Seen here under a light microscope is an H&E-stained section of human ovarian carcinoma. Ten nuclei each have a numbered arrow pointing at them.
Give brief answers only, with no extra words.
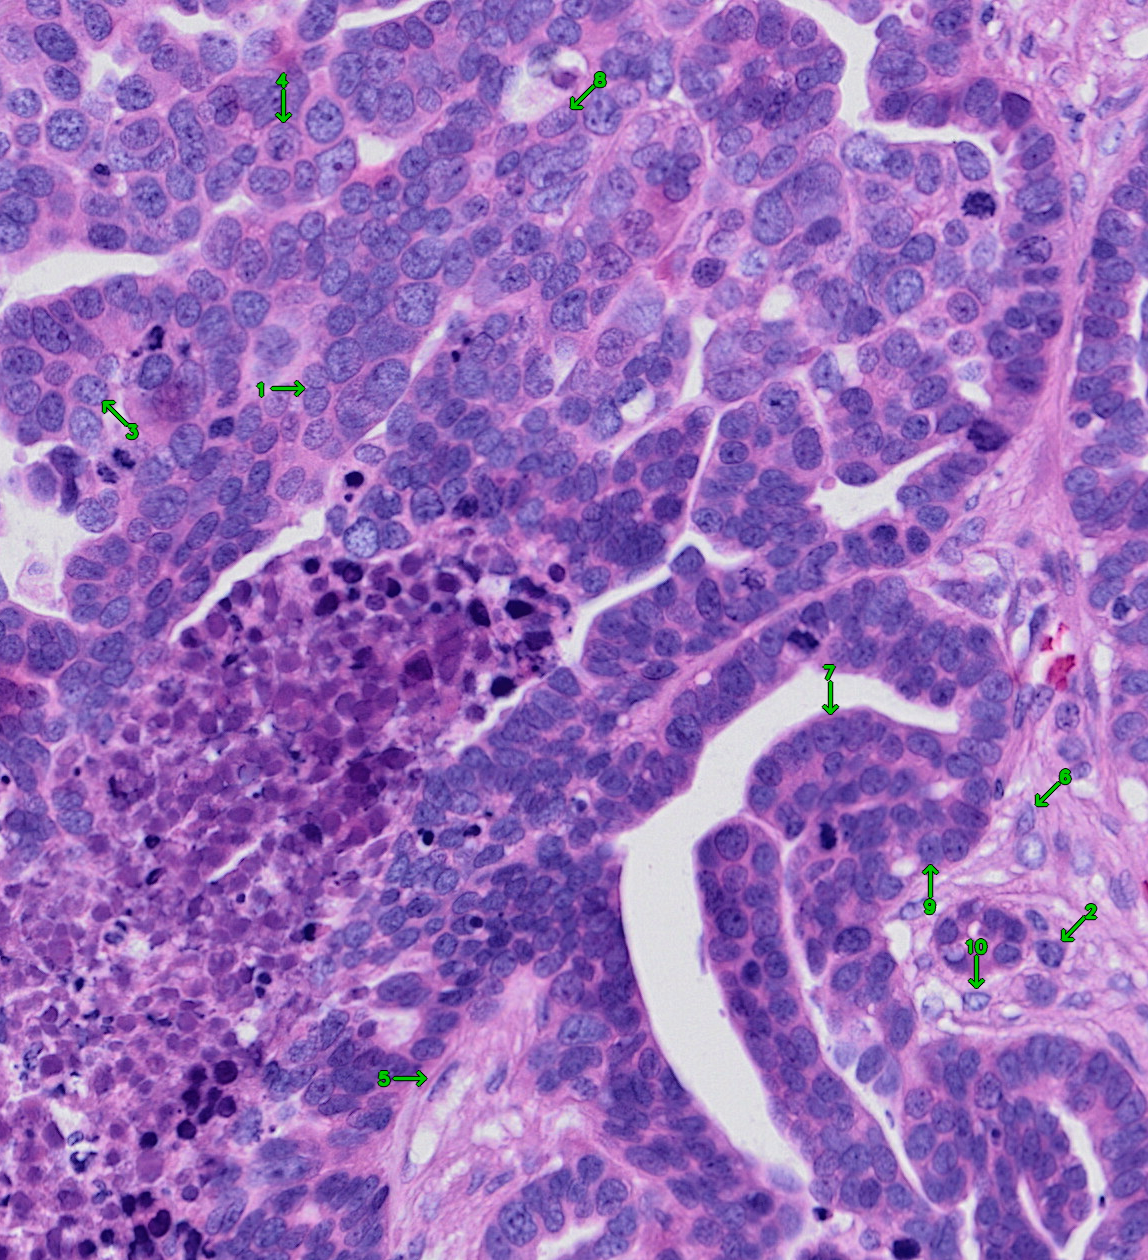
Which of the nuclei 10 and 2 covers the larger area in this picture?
2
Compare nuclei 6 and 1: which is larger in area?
1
